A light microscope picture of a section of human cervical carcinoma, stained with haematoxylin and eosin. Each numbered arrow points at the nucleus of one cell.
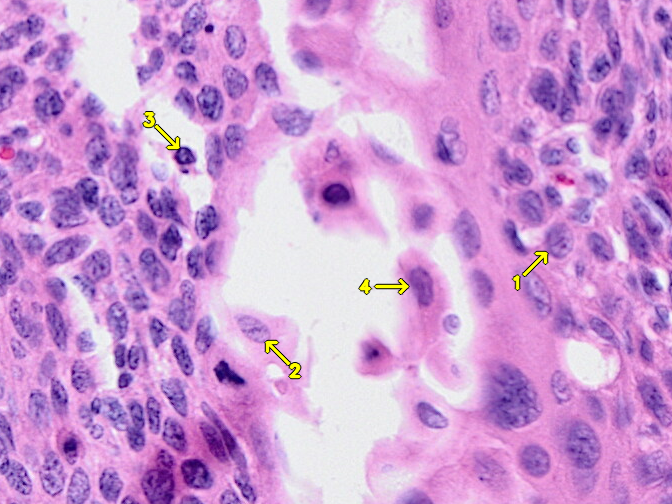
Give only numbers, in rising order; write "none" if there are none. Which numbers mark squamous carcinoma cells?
1, 2, 4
